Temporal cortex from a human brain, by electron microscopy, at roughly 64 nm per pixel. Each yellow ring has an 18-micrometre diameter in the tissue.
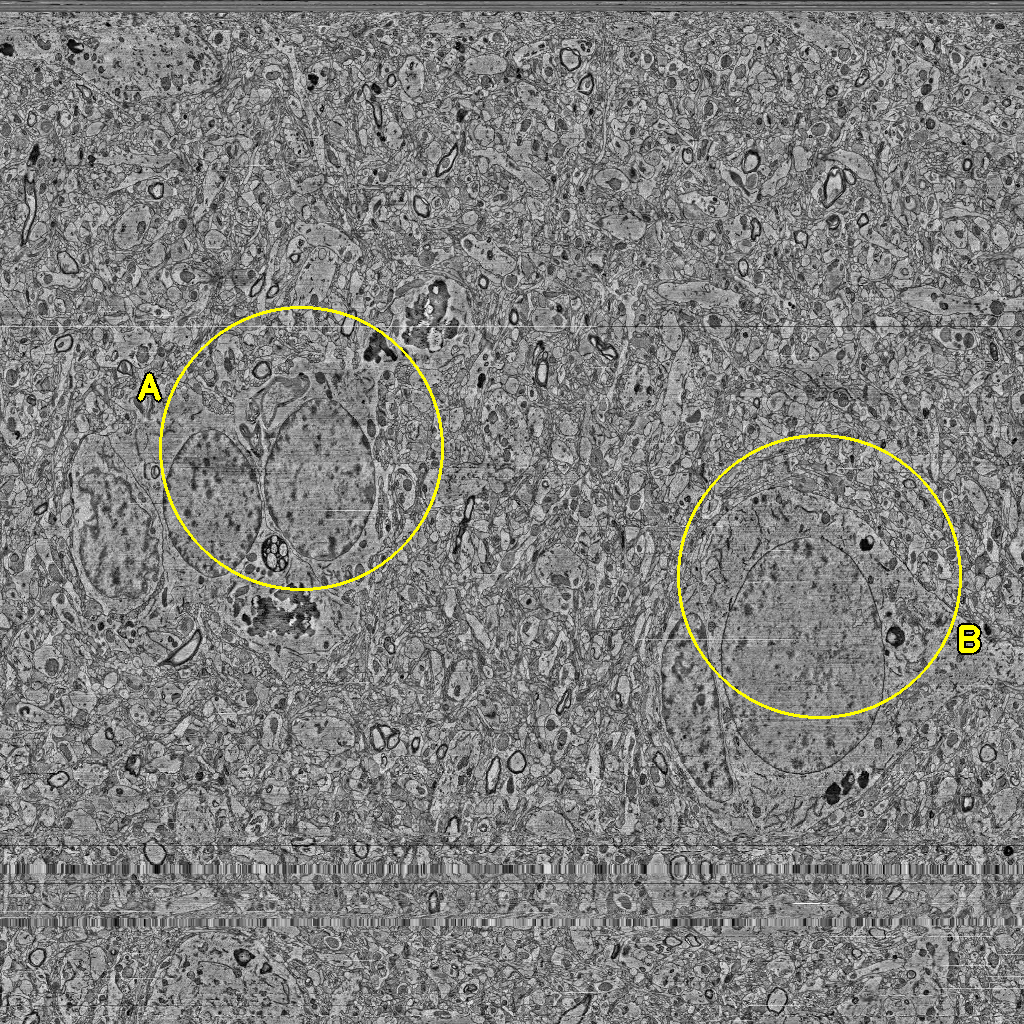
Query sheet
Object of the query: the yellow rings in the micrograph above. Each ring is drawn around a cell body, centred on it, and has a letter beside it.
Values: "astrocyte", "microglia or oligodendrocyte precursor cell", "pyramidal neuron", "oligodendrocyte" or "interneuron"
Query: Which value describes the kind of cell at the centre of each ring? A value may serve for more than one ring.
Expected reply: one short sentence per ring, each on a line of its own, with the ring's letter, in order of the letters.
I assign an astrocyte to ring A.
I assign a pyramidal neuron to ring B.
